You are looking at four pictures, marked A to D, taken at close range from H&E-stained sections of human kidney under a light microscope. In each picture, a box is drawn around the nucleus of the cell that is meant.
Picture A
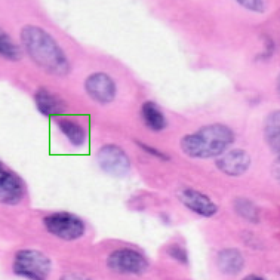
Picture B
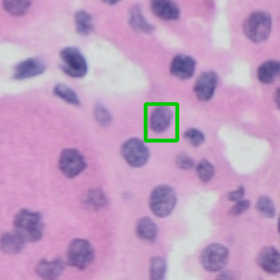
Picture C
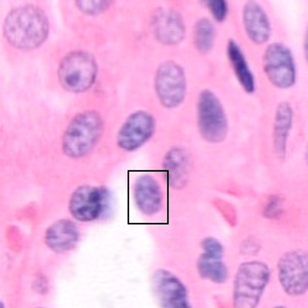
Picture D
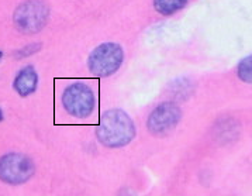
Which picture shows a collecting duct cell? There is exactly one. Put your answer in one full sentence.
It is picture B that shows the collecting duct cell.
